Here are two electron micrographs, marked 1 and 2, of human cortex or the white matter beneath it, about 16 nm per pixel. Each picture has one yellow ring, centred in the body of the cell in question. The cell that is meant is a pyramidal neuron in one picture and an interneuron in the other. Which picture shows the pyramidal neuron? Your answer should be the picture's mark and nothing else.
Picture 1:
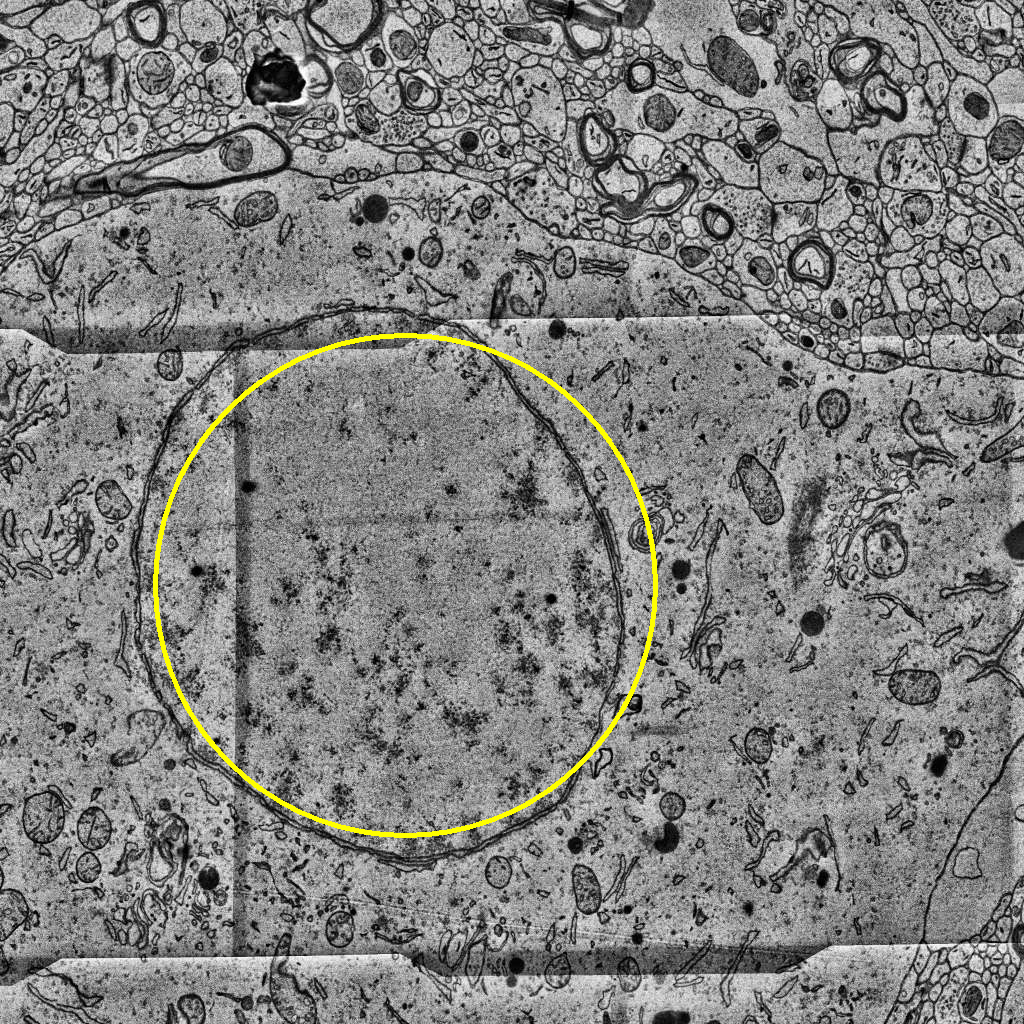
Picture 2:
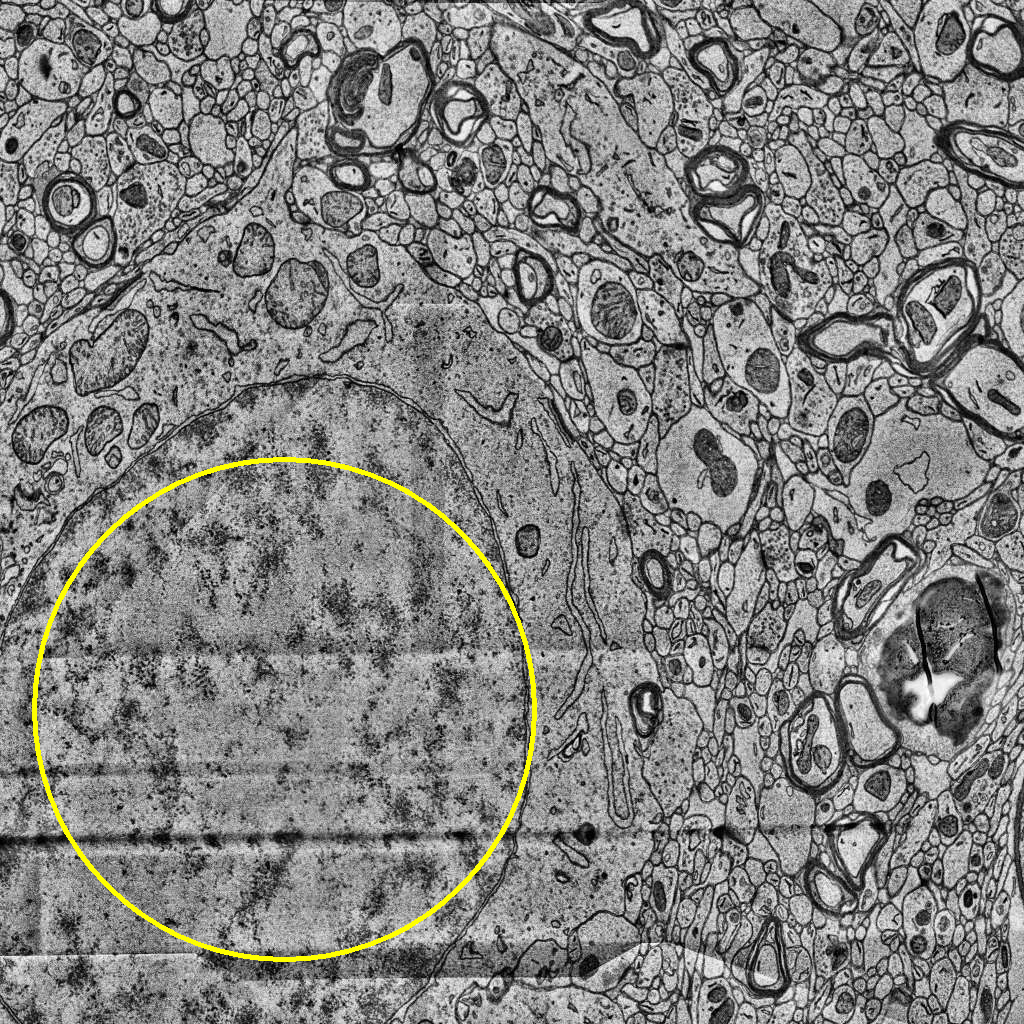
1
